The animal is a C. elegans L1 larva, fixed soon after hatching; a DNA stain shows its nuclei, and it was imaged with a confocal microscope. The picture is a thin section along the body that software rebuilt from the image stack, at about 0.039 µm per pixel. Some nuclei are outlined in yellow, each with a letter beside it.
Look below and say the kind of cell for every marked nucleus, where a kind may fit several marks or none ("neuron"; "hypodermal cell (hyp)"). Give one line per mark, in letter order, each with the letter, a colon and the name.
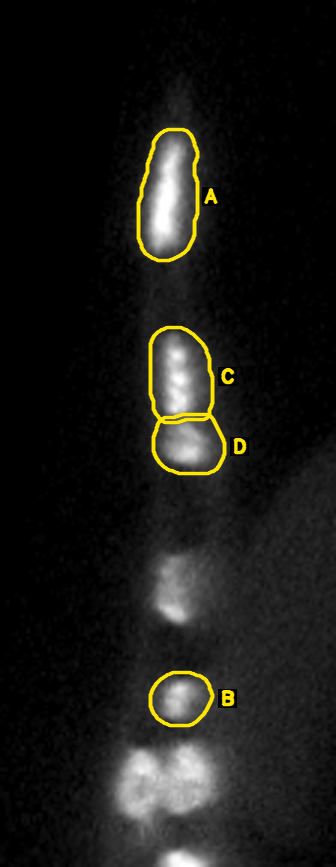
A: hypodermal cell (hyp)
B: neuron
C: hypodermal cell (hyp)
D: hypodermal cell (hyp)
